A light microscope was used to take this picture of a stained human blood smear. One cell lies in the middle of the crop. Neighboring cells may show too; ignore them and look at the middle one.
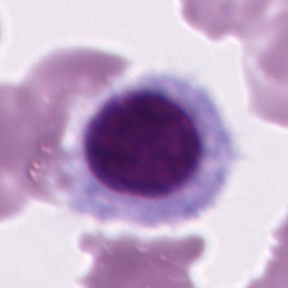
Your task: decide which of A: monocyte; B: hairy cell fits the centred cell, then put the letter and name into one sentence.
Located in the middle of the crop is a hairy cell, and option B is therefore correct.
